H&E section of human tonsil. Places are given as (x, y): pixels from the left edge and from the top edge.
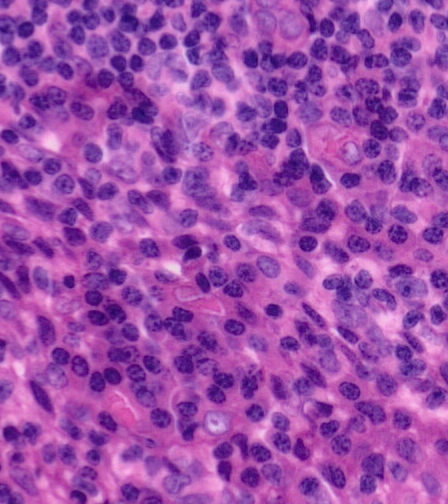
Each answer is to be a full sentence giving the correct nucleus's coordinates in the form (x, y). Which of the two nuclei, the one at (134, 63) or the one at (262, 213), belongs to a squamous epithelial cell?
It is the nucleus at (262, 213), not the other one, that belongs to a squamous epithelial cell.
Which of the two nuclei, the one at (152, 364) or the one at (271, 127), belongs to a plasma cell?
In this pair, the nucleus at (152, 364) belongs to a plasma cell.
